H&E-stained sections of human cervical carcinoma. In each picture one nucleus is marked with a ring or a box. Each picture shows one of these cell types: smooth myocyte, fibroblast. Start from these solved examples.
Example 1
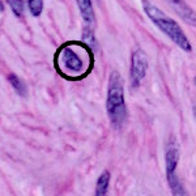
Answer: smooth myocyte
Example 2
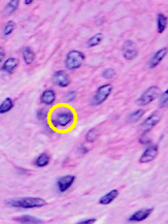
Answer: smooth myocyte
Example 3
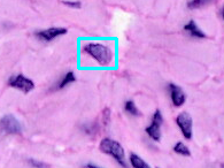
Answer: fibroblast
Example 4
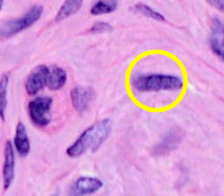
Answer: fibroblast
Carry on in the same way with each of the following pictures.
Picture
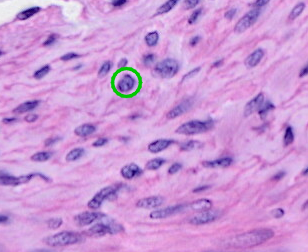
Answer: smooth myocyte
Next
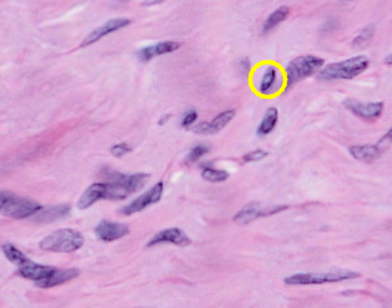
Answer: fibroblast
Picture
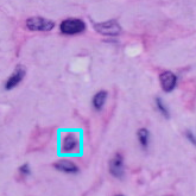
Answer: smooth myocyte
